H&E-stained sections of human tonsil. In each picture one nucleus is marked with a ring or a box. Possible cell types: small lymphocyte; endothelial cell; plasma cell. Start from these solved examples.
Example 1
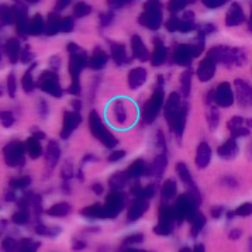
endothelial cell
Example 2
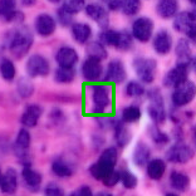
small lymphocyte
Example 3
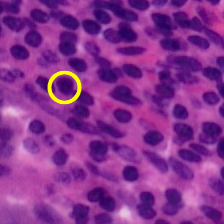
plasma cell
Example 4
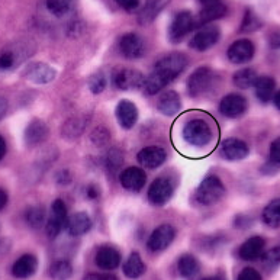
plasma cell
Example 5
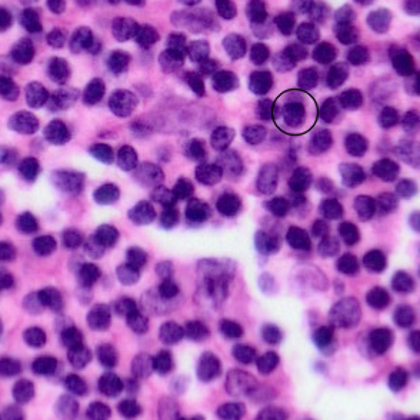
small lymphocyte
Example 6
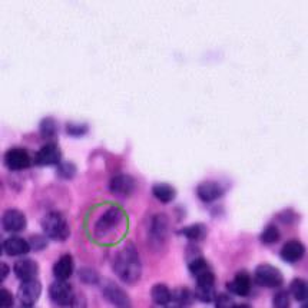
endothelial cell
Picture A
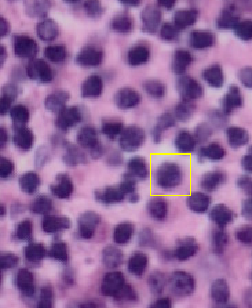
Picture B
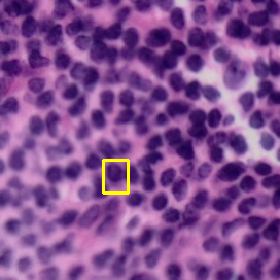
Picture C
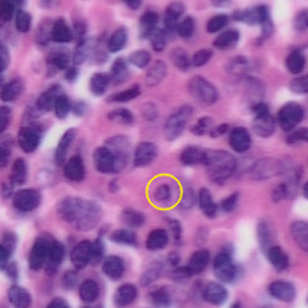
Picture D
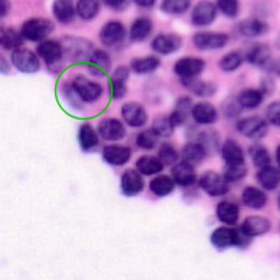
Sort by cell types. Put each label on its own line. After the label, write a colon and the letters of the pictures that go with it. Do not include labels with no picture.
small lymphocyte: A, B, D
endothelial cell: C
